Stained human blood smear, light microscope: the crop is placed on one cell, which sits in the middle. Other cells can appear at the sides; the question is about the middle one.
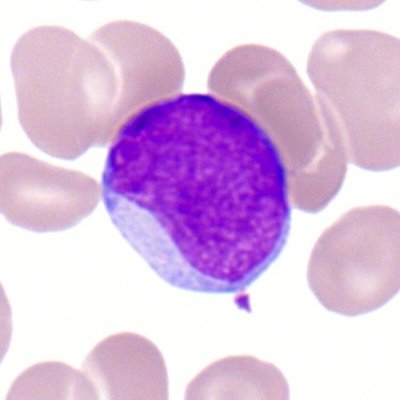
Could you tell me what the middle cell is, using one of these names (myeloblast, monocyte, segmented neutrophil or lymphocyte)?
myeloblast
